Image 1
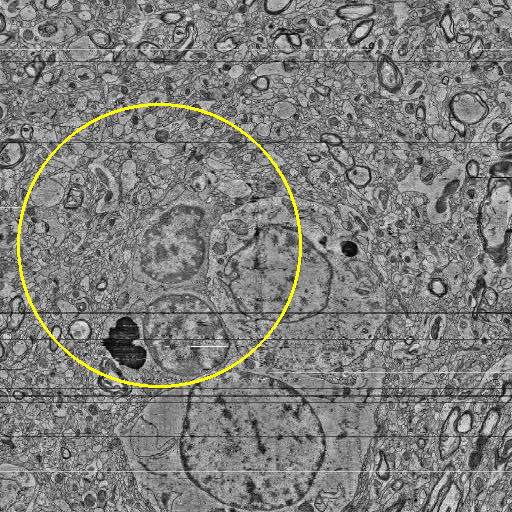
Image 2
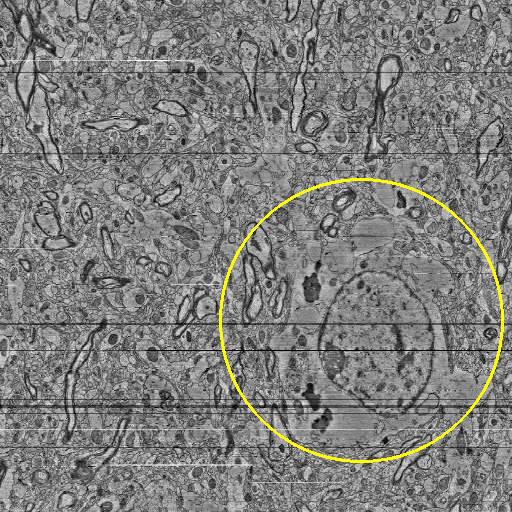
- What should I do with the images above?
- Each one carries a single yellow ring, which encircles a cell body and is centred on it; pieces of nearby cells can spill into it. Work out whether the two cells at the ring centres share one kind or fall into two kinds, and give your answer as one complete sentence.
The ring-centre cells of Image 1 and Image 2 fall into two kinds.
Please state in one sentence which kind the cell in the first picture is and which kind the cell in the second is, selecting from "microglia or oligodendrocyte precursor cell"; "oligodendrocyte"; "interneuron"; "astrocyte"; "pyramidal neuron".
The first ringed cell is an oligodendrocyte, the second ringed cell an astrocyte.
